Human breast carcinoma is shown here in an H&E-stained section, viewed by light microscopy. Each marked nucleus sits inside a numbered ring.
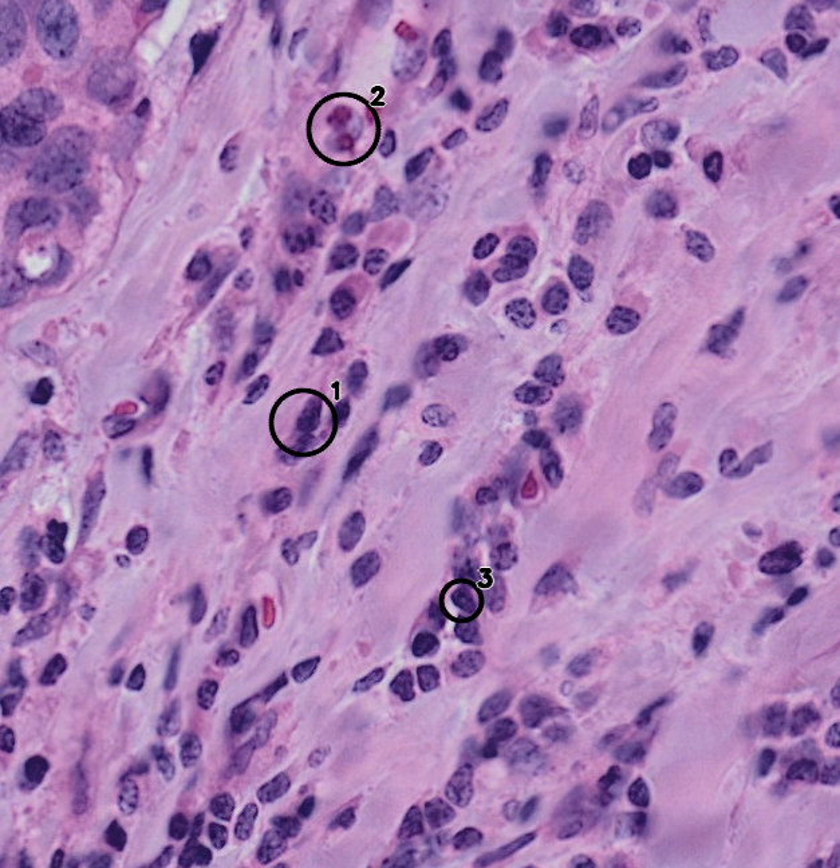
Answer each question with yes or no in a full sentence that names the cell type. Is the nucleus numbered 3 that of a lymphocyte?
Yes, the cell marked with number 3 is a lymphocyte.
